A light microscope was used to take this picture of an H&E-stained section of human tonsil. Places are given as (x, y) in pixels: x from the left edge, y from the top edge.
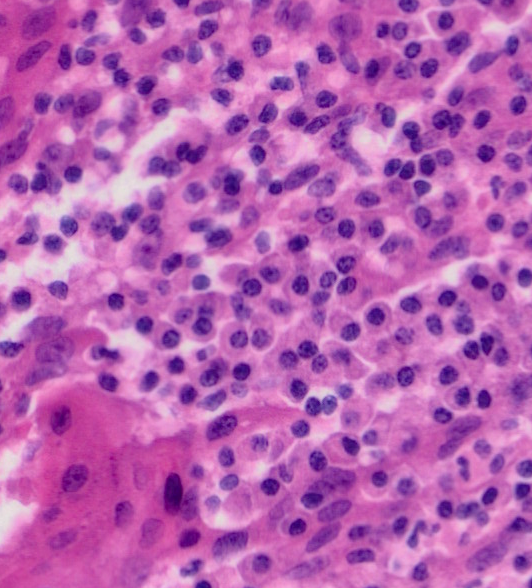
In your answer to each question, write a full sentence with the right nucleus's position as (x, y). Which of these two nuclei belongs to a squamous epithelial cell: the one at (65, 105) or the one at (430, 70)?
Of the two nuclei, the one at (65, 105) belongs to a squamous epithelial cell.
